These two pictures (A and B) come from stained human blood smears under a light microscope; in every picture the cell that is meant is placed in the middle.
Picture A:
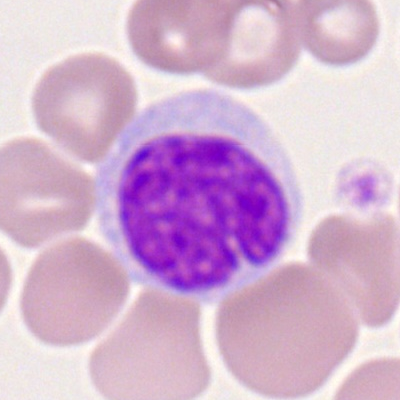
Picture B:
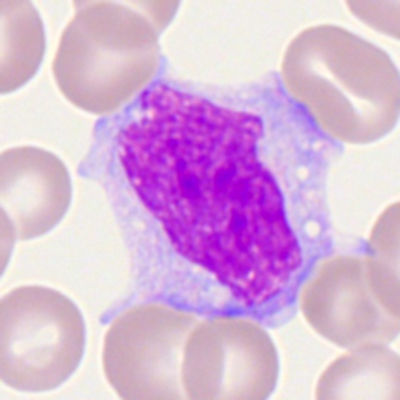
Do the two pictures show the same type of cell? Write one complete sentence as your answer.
Yes, both are monocytes.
